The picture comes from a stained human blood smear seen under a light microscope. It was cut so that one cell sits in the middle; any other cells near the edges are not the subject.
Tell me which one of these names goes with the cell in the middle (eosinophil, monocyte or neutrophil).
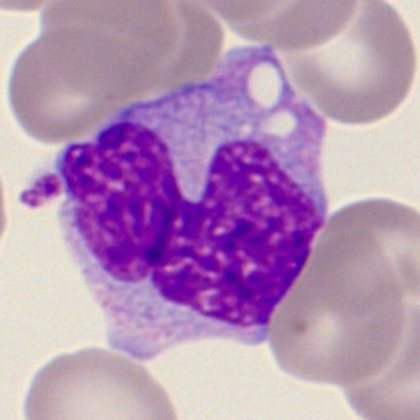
monocyte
